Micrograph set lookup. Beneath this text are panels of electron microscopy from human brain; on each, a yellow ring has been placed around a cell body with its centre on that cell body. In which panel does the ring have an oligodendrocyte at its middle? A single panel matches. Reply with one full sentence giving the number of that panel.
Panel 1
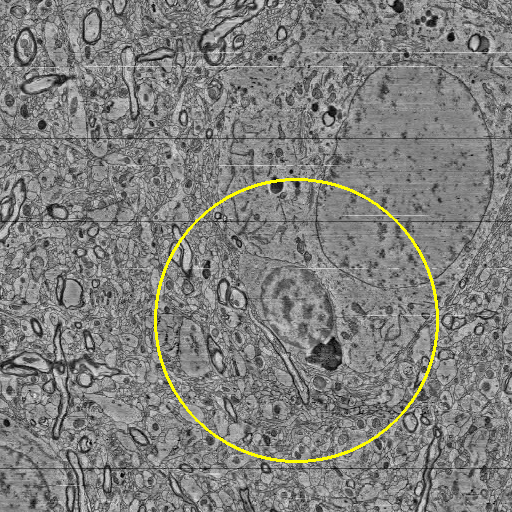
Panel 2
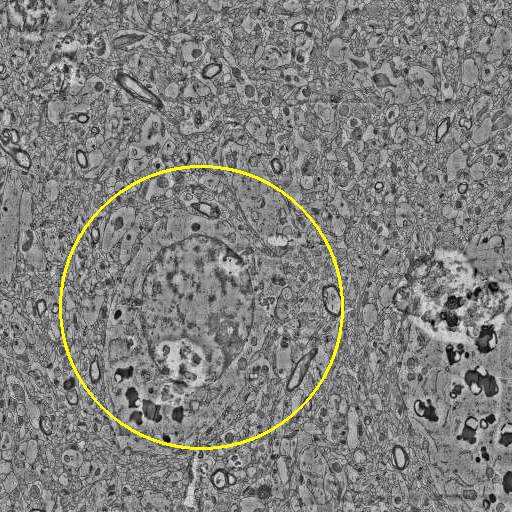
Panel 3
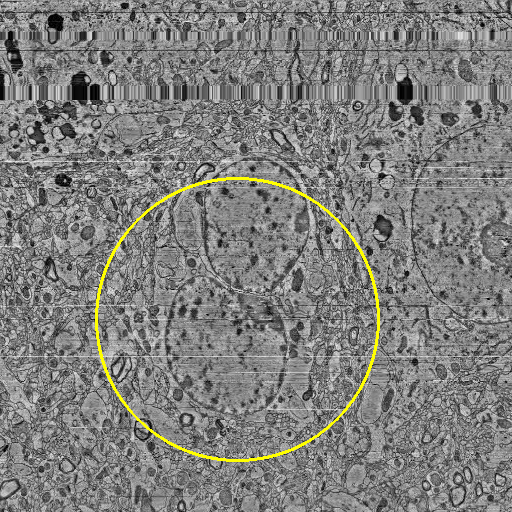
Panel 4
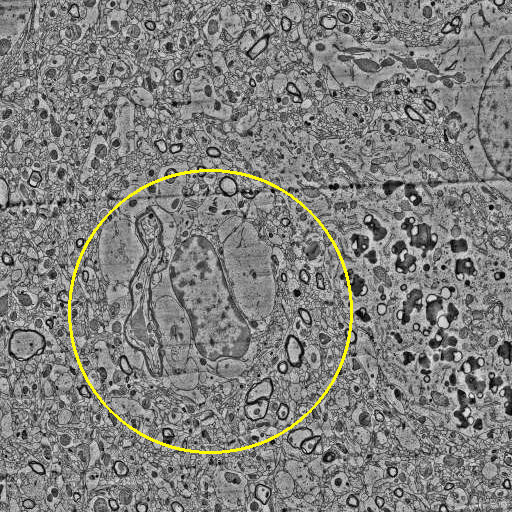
Panel 1 is the one whose ring has the sought cell at its centre.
